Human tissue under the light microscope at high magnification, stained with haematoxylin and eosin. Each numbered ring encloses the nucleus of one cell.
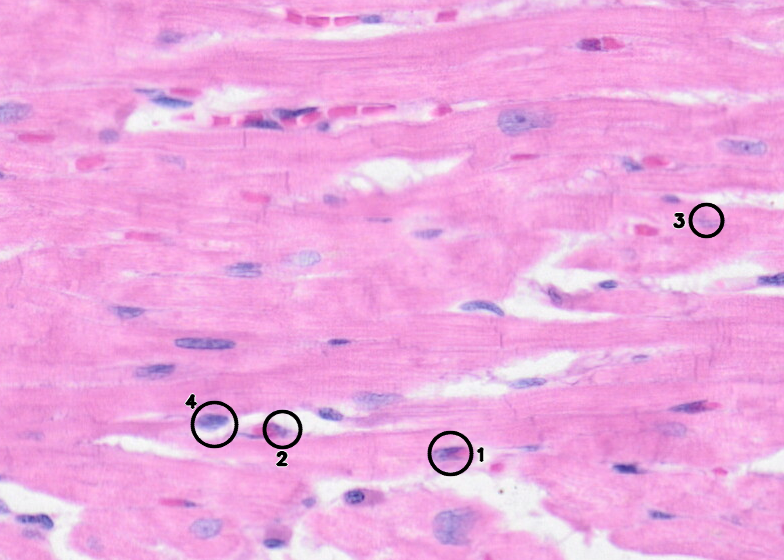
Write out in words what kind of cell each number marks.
Cell 1 is an endothelial cell, cell 2 is an endothelial cell, cell 3 is a cardiomyocyte and cell 4 is a fibroblast.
